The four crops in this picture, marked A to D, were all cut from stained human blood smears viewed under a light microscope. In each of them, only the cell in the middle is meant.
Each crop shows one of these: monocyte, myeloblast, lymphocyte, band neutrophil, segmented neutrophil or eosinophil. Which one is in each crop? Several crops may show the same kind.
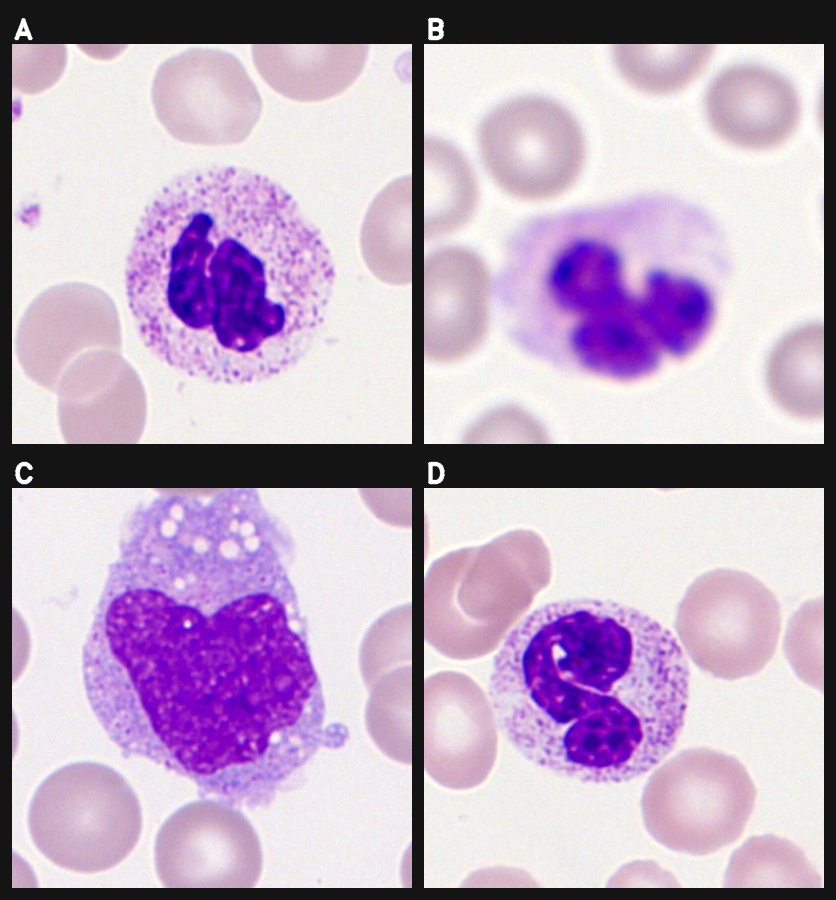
A: segmented neutrophil
B: segmented neutrophil
C: monocyte
D: segmented neutrophil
